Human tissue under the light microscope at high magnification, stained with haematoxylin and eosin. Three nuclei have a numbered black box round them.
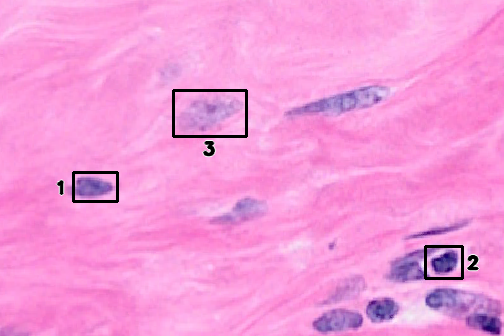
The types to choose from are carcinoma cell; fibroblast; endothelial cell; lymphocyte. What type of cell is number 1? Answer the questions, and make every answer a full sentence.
Among the marked nuclei, number 1 belongs to a lymphocyte.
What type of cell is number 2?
The one numbered 2 among the marked cells is a lymphocyte.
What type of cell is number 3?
Regarding cell 3, this one is a fibroblast.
